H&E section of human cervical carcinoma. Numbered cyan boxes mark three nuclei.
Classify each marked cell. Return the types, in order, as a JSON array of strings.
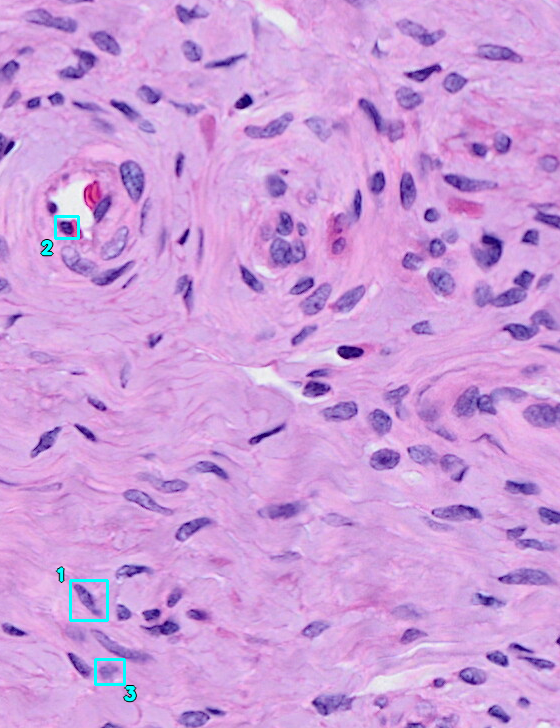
["fibroblast", "endothelial cell", "fibroblast"]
